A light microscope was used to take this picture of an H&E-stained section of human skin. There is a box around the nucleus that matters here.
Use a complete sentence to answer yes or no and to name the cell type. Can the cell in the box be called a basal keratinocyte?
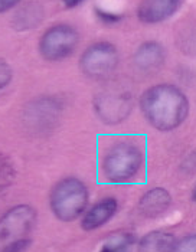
No, the cell in the box is classed as a suprabasal keratinocyte, not a basal keratinocyte.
